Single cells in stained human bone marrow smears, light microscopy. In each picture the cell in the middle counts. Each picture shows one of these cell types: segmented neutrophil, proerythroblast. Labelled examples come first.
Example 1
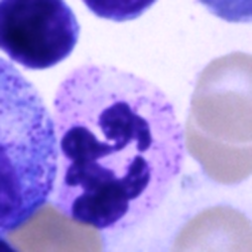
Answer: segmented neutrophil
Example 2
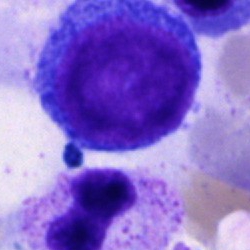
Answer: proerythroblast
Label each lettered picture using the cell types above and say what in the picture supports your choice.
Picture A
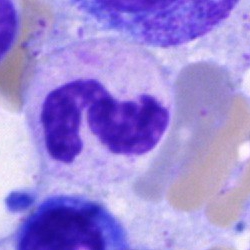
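segmented neutrophil. Reason: The nucleus is bent into a horseshoe shape with its open side facing downward.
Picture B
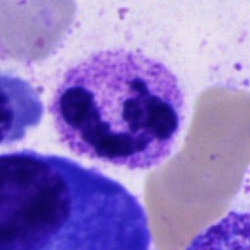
segmented neutrophil. Reason: The nucleus forms a curved U-shaped band that opens upward.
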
